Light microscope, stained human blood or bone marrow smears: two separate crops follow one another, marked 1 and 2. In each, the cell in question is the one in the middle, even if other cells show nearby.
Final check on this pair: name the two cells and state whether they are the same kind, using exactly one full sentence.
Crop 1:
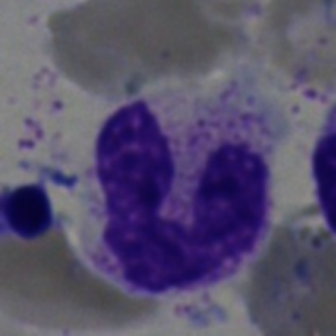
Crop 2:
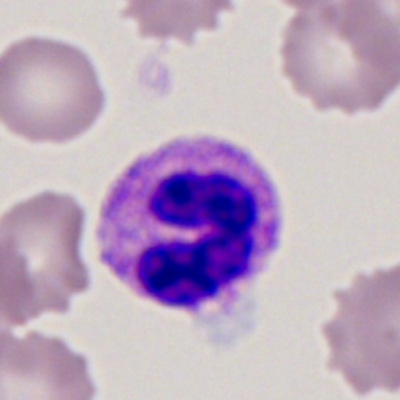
Yes, with regard to both crops, the central cells are neutrophils.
